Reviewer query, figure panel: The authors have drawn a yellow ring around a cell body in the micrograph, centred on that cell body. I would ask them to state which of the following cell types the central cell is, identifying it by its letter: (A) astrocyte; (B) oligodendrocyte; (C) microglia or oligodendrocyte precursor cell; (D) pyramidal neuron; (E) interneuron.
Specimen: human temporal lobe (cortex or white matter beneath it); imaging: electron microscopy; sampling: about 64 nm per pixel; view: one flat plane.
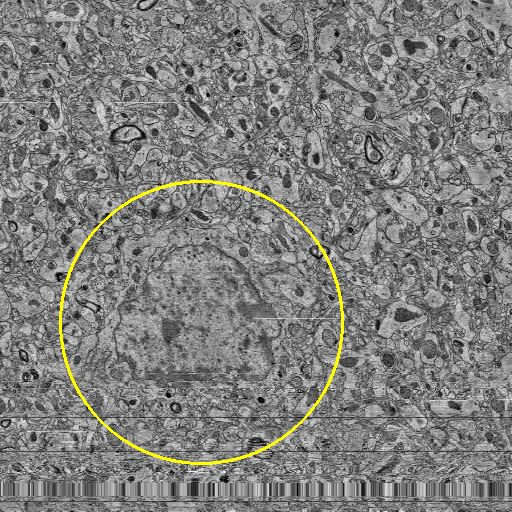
E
